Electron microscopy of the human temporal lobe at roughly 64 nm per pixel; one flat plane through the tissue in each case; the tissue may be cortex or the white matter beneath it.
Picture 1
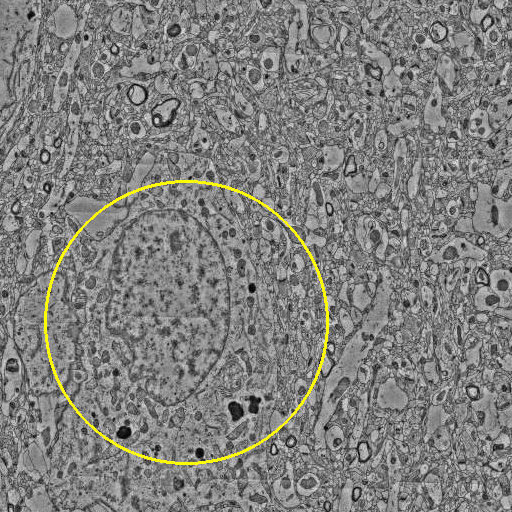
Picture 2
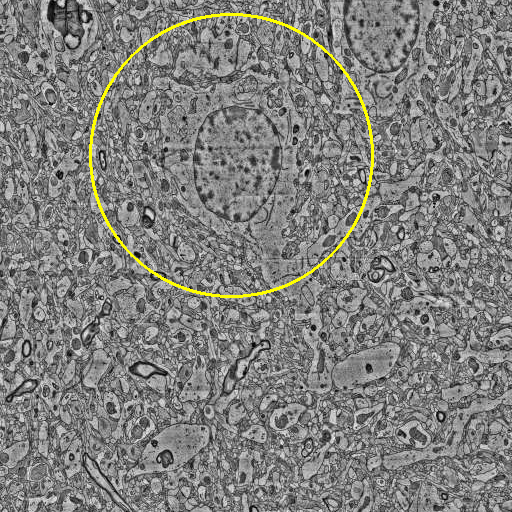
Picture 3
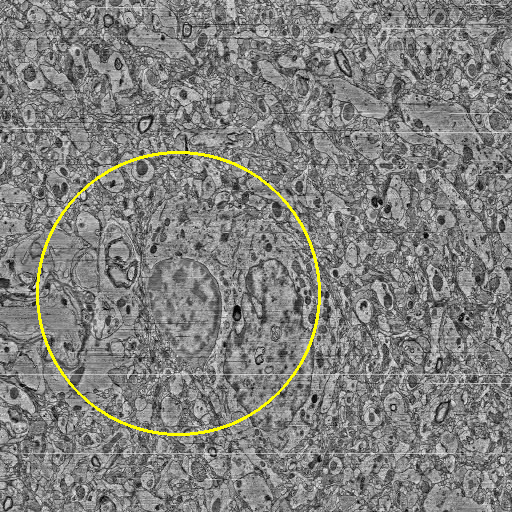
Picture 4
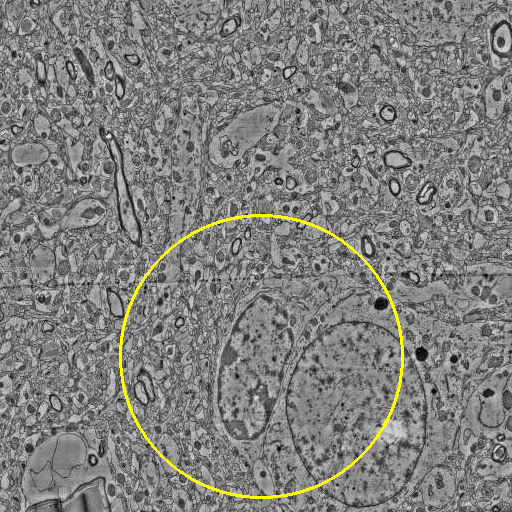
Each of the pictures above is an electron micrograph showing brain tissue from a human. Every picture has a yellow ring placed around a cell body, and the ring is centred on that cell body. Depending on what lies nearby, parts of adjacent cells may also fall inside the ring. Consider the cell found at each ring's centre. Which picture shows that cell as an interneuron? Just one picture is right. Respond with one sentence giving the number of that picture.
The picture showing the wanted cell at the ring's centre is number 1.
